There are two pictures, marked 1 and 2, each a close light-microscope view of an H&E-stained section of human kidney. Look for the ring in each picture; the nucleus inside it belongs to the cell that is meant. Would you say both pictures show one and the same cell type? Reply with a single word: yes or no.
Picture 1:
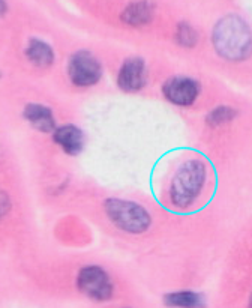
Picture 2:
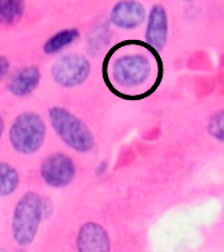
no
